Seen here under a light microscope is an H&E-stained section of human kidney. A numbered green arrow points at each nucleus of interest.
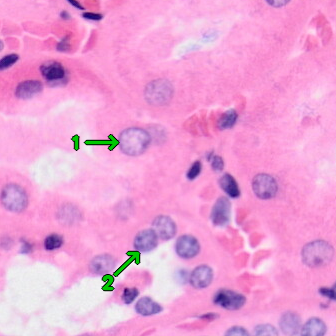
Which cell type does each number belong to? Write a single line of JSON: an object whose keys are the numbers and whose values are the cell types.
{"1": "proximal tubule cell", "2": "loop of Henle or distal tubule cell"}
